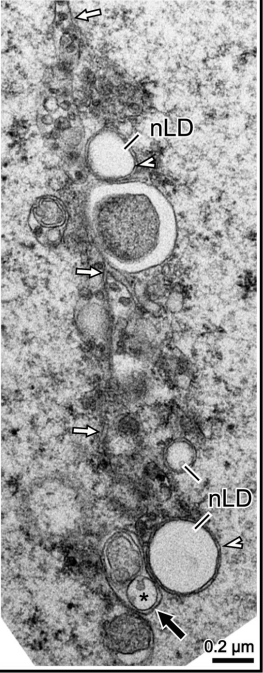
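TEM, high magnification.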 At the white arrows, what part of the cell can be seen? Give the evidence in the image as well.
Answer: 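Tubules. Thin membrane tubules run lengthwise through a band of membranous profiles.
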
